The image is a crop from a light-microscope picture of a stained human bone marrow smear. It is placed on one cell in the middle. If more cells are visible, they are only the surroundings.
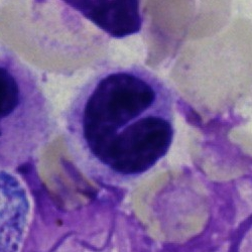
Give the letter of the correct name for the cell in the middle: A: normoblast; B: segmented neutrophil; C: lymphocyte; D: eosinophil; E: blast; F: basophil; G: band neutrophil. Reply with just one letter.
G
